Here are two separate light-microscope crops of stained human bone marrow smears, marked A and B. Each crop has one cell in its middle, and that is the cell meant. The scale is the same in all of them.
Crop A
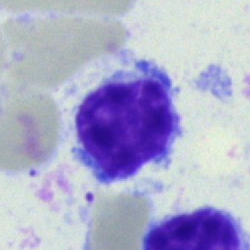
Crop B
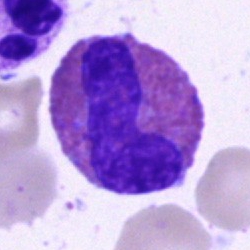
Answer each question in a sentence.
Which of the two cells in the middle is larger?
It is the cell in crop B, about 2 times as large in area as the cell in crop A.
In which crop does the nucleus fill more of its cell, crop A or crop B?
In crop A the nucleus takes up the larger part of its cell.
